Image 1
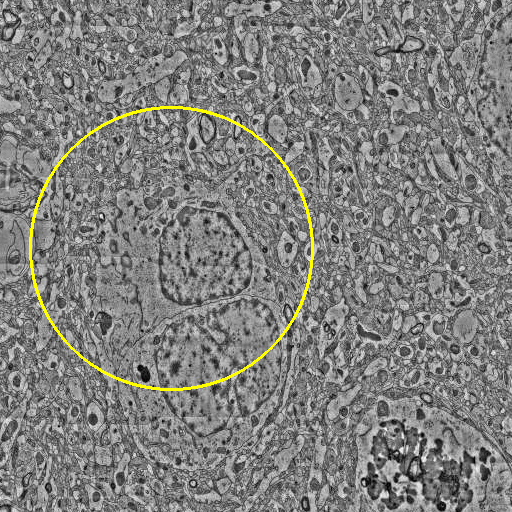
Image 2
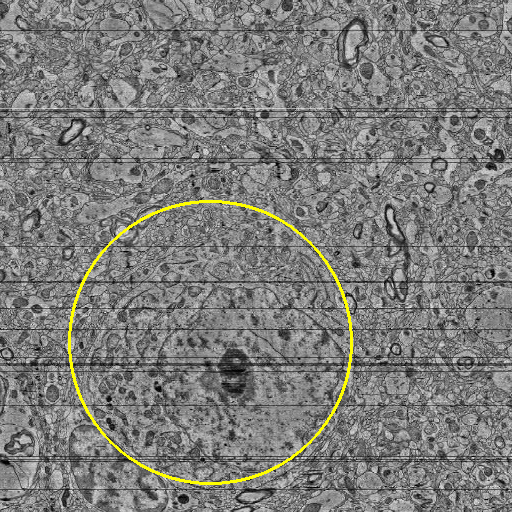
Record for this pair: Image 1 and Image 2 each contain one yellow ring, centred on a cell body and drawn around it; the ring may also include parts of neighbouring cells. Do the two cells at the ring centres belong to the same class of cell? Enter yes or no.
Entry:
no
